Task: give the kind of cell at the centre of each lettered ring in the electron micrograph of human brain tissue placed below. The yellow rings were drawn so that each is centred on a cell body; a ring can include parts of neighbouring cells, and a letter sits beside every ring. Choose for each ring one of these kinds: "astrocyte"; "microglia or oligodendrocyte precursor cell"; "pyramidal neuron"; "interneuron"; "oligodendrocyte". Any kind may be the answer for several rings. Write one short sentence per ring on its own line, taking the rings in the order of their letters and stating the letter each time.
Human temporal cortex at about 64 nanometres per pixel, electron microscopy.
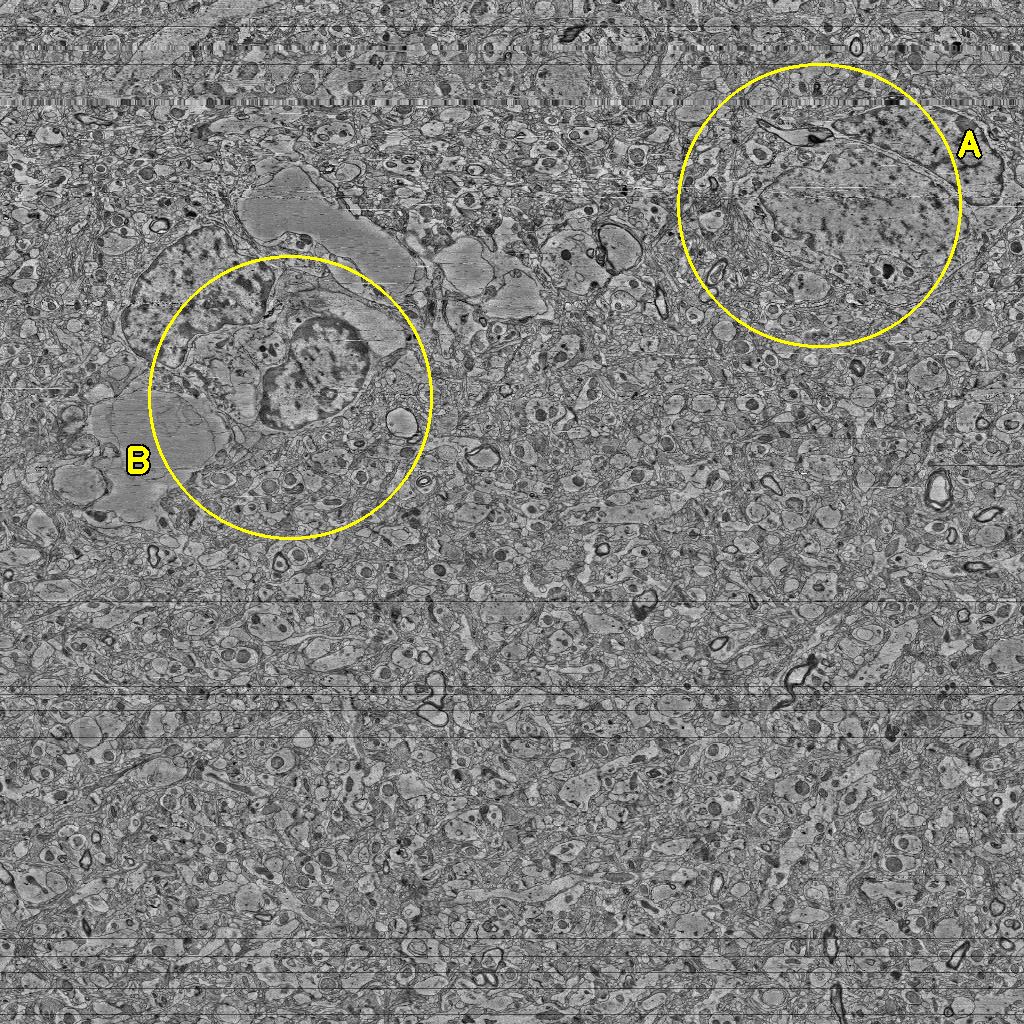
The yellow ring marked A surrounds an interneuron.
The yellow ring marked B surrounds a microglial cell or oligodendrocyte precursor cell.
